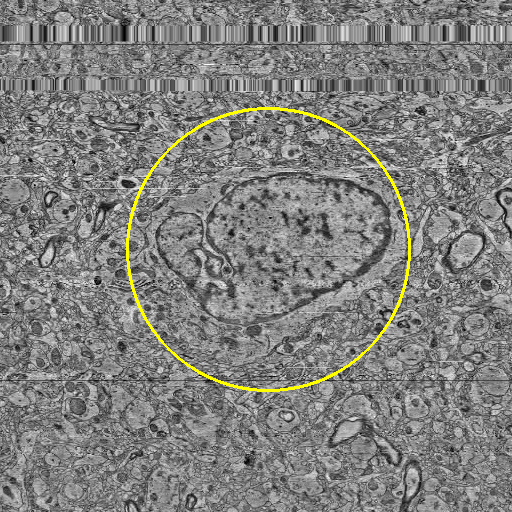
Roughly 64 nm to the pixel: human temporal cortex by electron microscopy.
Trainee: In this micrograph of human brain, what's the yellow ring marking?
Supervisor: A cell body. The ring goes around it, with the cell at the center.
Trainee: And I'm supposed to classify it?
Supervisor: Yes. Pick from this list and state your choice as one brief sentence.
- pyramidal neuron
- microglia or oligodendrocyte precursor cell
The cell at the ring's center is a microglial cell or oligodendrocyte precursor cell.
